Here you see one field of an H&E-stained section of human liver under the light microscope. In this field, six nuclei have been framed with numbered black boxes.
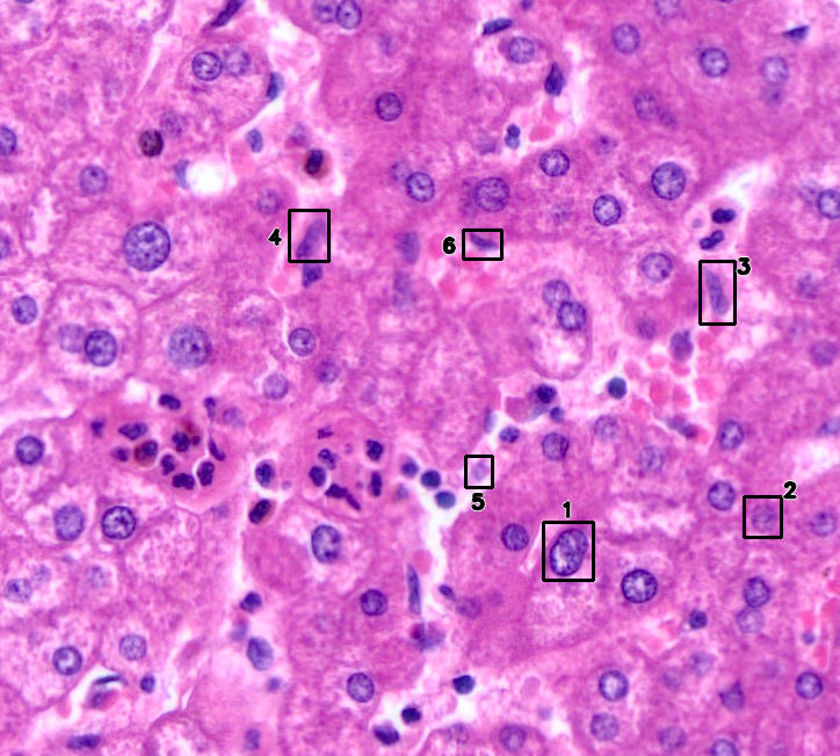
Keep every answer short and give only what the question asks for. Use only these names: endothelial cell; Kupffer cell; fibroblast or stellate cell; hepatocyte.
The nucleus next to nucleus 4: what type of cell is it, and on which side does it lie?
a fibroblast or stellate cell, below nucleus 4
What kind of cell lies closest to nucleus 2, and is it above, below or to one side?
a hepatocyte; above and to the left of nucleus 2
